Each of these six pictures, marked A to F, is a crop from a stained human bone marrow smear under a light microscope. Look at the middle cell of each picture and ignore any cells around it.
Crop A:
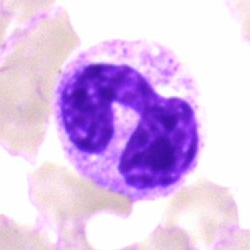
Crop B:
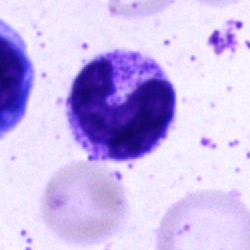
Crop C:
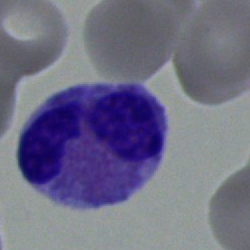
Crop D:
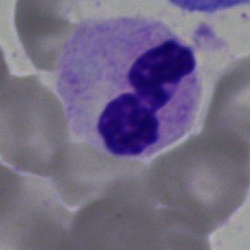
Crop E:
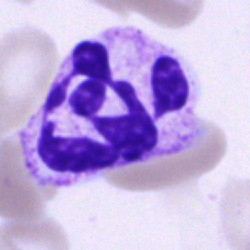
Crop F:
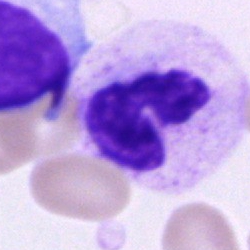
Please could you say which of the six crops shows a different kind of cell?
C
